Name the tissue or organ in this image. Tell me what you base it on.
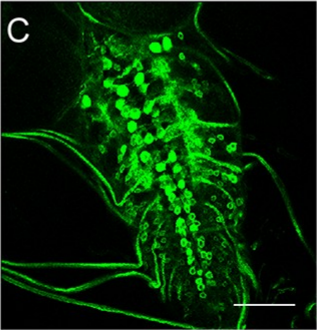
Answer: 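An elongated tissue tapering toward its lower end. Many rounded cell bodies packed on both sides of a midline. Paired nerve fibres leave the tissue laterally. On this evidence: ventral nerve cord.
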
